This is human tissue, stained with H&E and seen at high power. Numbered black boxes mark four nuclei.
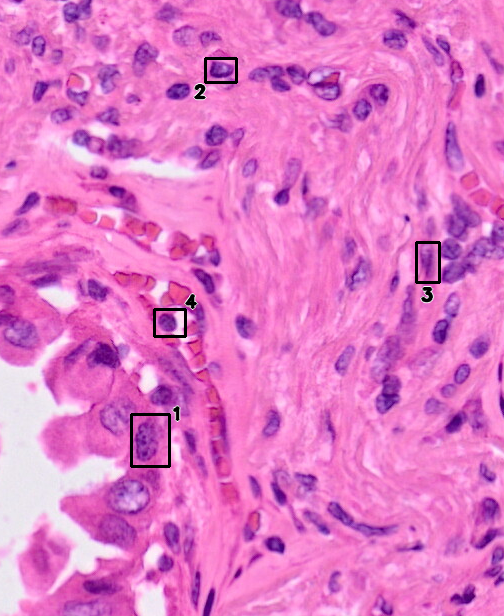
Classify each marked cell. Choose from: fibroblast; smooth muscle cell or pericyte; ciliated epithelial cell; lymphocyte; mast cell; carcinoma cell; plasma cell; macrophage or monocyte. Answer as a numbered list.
1. carcinoma cell
2. plasma cell
3. plasma cell
4. lymphocyte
